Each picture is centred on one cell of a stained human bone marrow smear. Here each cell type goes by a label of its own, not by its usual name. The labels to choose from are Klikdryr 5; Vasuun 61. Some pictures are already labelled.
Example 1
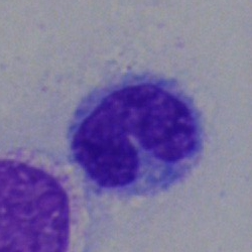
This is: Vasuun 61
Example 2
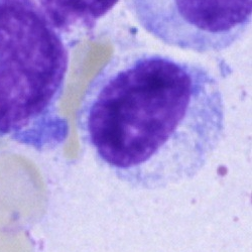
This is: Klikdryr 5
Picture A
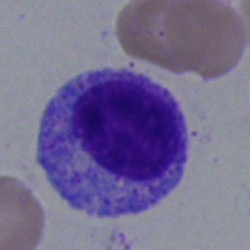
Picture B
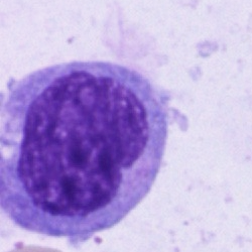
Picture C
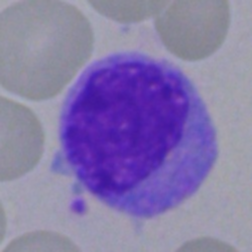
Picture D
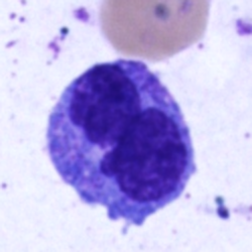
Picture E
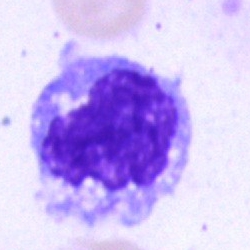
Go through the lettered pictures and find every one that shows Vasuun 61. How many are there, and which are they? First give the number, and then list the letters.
4, namely B, C, D, E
